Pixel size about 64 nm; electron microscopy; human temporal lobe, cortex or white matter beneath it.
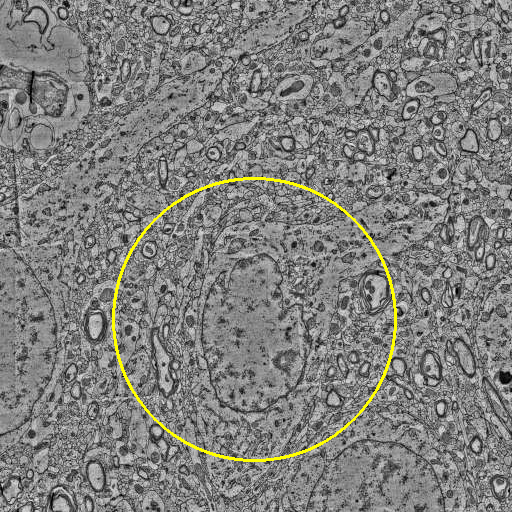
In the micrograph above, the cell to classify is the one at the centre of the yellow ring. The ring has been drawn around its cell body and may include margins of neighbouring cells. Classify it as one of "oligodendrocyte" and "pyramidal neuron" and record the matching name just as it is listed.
pyramidal neuron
